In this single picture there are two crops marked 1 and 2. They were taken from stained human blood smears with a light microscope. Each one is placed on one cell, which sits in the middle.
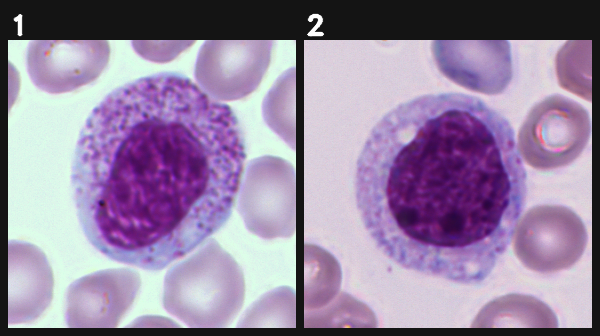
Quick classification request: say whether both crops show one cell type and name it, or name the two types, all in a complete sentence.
Yes, at the centre of both crops are myelocytes.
